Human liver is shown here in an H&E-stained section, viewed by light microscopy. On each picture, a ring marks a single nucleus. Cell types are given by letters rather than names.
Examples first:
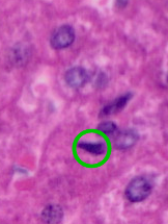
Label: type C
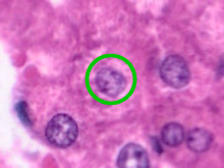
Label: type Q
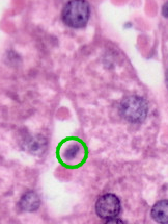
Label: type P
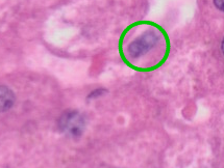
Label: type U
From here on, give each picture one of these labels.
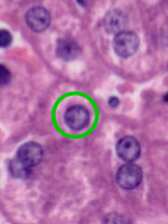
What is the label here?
type Q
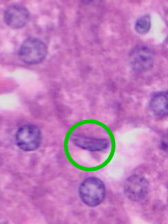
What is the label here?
type U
